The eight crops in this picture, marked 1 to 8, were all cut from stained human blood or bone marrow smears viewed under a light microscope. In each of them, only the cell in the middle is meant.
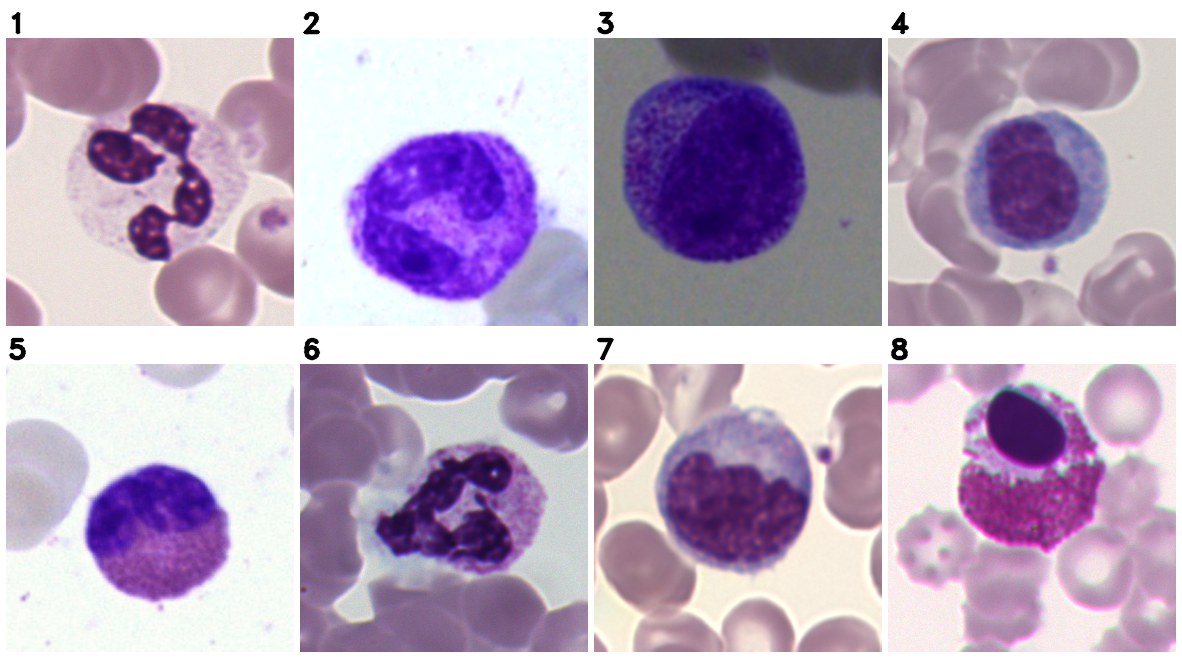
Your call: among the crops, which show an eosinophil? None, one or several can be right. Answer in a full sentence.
The cells at the centre of the crops labelled 5 and 8 are eosinophils.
